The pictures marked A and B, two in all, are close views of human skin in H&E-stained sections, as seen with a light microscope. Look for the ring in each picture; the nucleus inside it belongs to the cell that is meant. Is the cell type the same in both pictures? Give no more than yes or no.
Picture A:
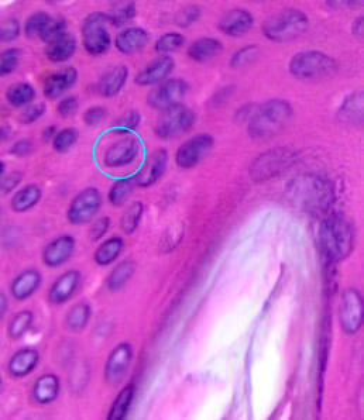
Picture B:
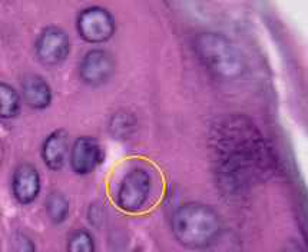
yes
